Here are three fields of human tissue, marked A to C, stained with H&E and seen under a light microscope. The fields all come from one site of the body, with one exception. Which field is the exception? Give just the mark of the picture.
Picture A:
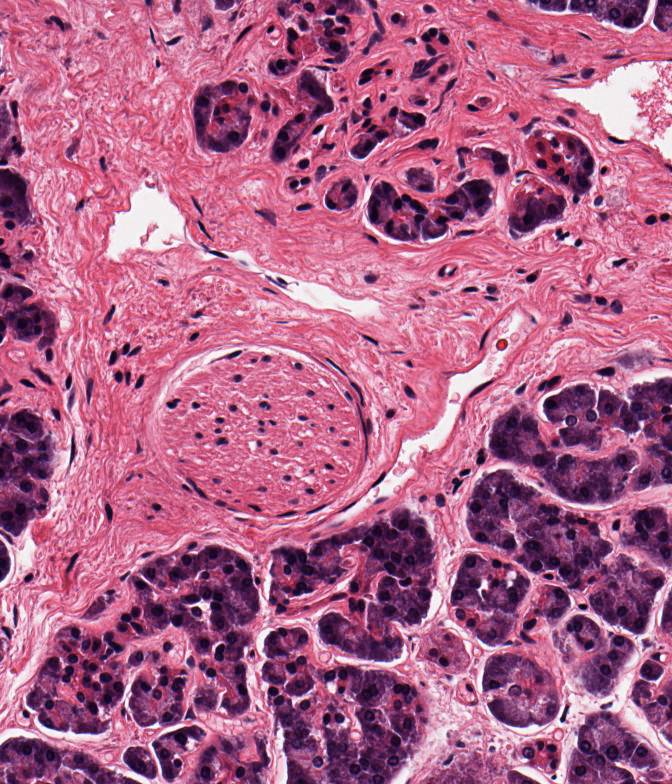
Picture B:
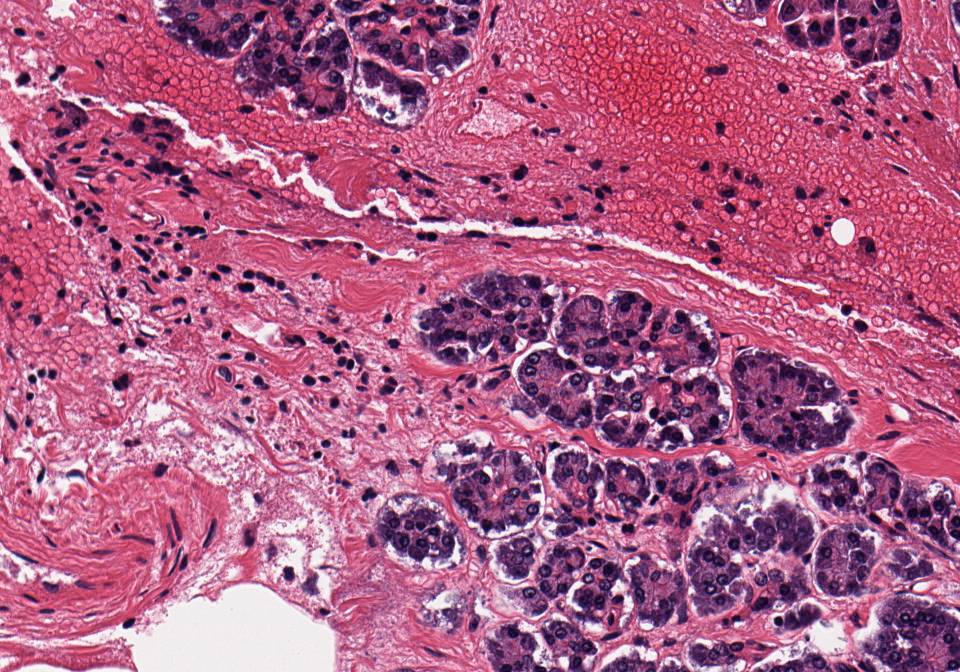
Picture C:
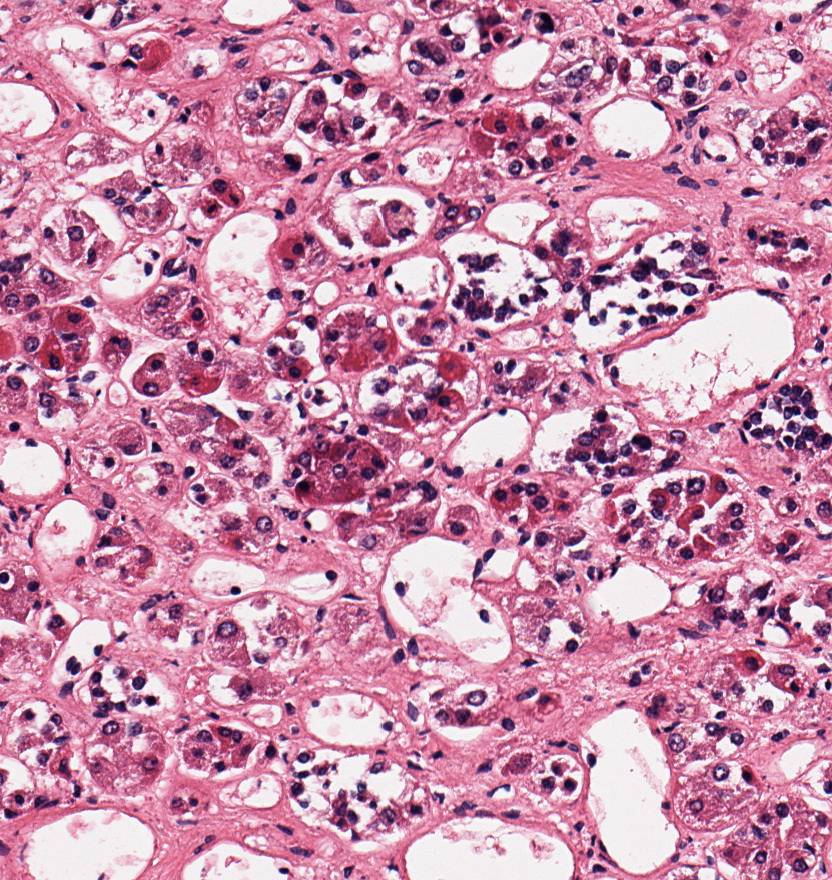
C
